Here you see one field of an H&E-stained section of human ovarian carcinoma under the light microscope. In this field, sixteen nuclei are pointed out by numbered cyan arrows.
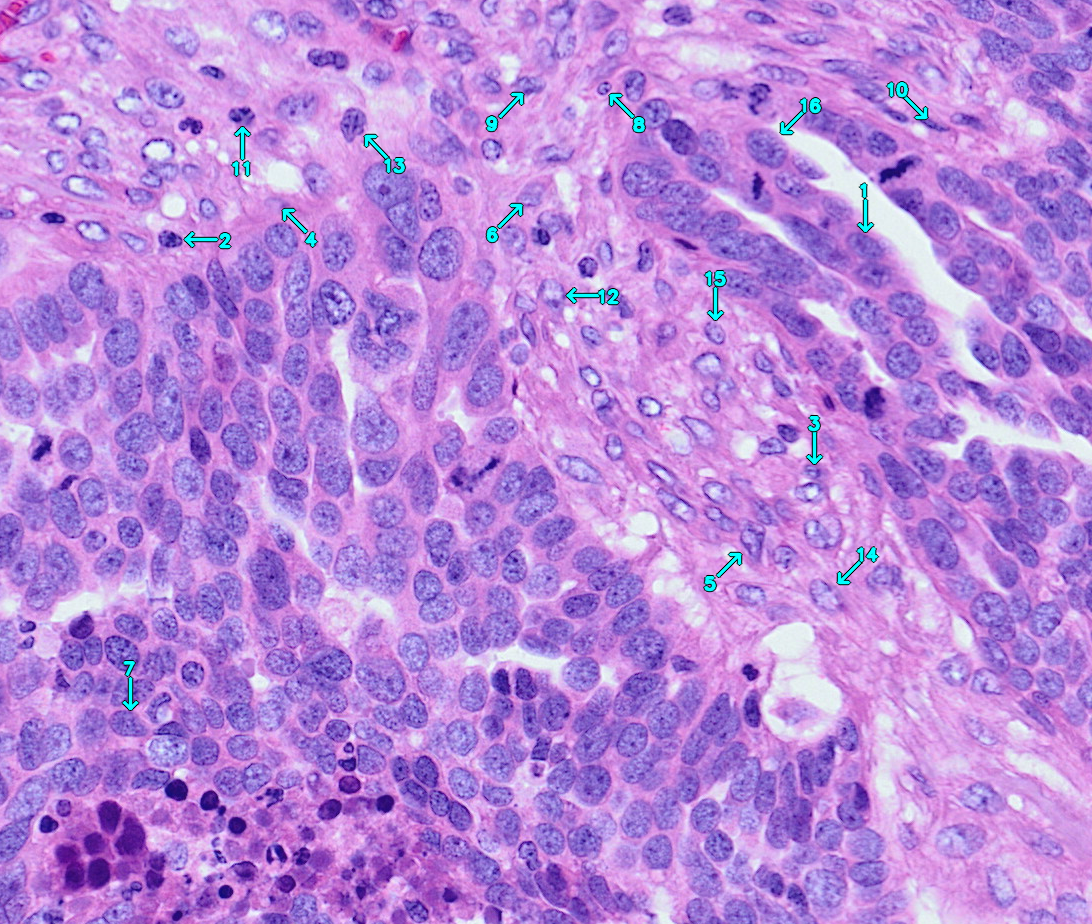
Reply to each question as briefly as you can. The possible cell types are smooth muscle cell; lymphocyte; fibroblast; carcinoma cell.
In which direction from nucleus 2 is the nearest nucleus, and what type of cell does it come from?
a fibroblast; to the left of nucleus 2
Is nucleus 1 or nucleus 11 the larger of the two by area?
1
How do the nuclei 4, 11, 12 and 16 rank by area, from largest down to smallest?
16, 12, 11, 4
